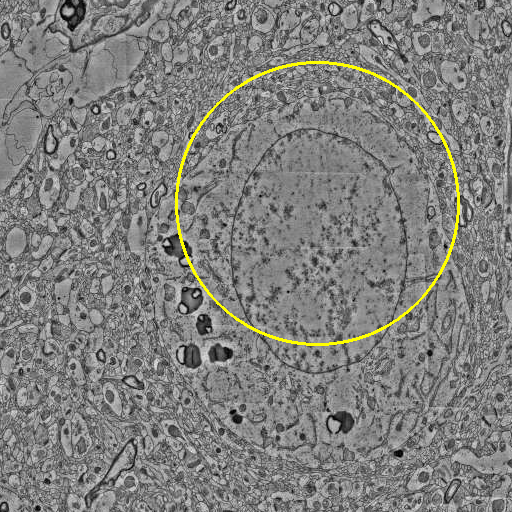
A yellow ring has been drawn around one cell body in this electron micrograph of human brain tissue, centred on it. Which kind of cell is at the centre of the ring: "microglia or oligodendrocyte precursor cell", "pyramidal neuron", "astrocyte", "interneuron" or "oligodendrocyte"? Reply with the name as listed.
pyramidal neuron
